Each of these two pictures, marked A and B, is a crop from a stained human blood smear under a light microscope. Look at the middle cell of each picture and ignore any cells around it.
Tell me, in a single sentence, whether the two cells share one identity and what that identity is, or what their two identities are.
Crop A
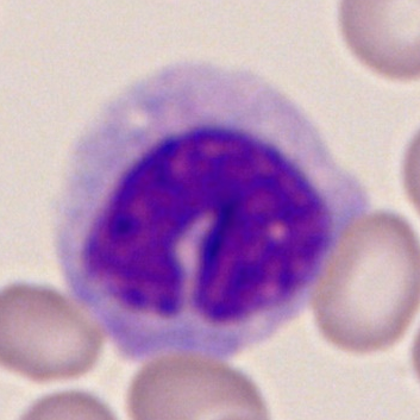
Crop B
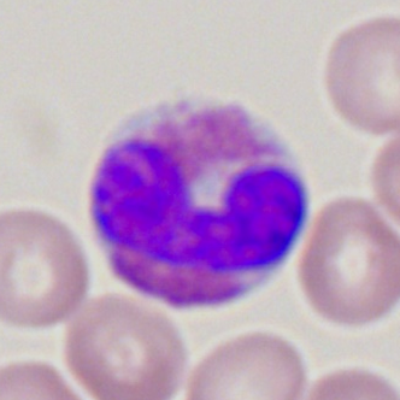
No, crop A is where a monocyte is, and crop B is where an eosinophil is.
